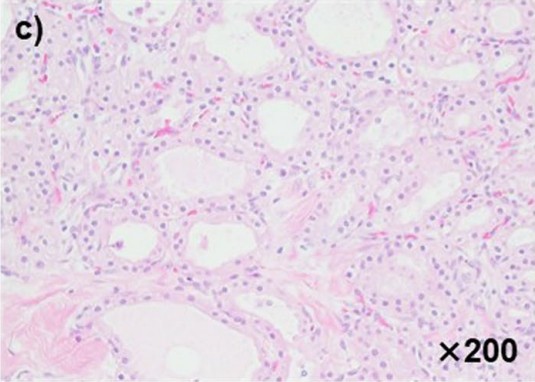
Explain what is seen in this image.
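This is a tumor made of epithelial cells arranged around many small cystic spaces, microcysts. Each small space is lined by a single layer of cuboidal to flattened cells with small round, evenly spaced nuclei and pale, clear-looking cytoplasm. Some spaces are empty, others hold faint pale material. The cyst-like spaces vary in size and sit close together, separated by thin strands of pink fibrous stroma with a few delicate small vessels. The nuclei look bland and uniform, without marked crowding, and the overall picture is of a sponge-like arrangement of little cysts lined by clear cells.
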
